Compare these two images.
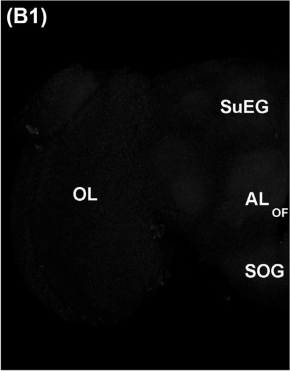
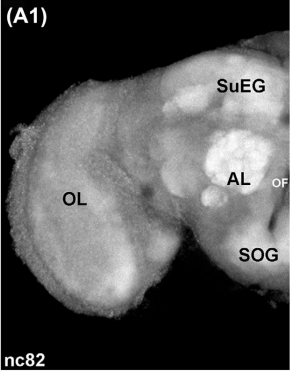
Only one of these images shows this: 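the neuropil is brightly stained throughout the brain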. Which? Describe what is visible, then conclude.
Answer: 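First image: the brain is barely visible, with only faint grey staining. Second image: the brain is brightly stained, with distinct bright rounded neuropil masses. That points to this answer: the second image.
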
